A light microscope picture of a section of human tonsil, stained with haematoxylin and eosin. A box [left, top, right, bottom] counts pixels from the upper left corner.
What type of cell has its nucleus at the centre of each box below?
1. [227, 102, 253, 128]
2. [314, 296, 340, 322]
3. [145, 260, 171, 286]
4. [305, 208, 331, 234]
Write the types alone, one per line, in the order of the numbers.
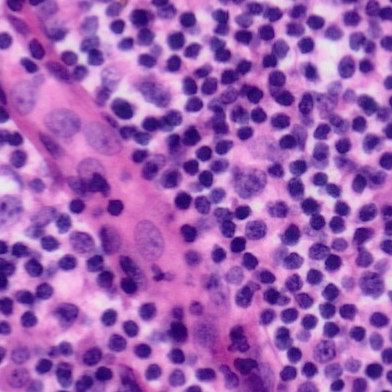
small lymphocyte
small lymphocyte
endothelial cell
small lymphocyte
